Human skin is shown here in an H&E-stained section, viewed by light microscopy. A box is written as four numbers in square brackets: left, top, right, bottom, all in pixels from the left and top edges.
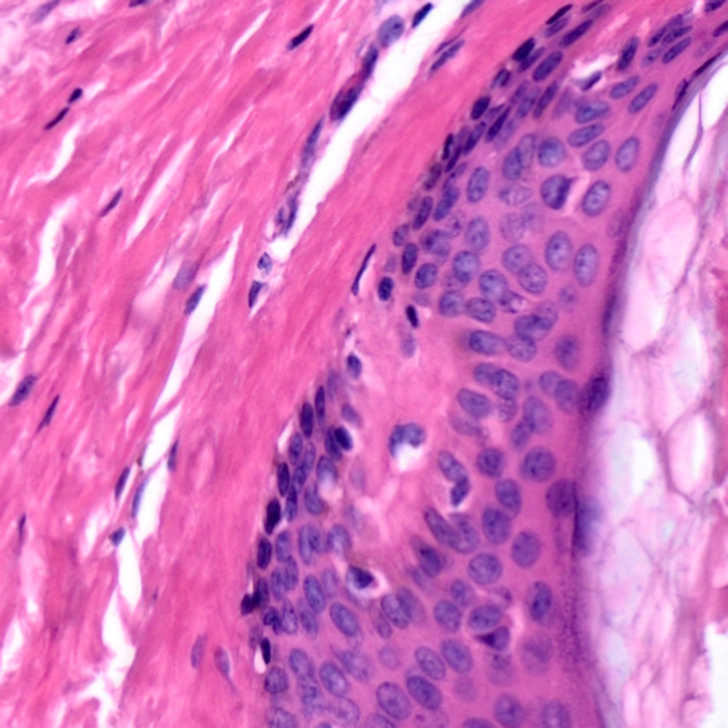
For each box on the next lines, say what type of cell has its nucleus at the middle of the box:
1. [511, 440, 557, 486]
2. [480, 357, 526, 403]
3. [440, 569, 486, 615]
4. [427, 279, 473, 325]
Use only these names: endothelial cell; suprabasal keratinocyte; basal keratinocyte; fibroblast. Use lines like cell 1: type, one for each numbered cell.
cell 1: suprabasal keratinocyte
cell 2: basal keratinocyte
cell 3: suprabasal keratinocyte
cell 4: basal keratinocyte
